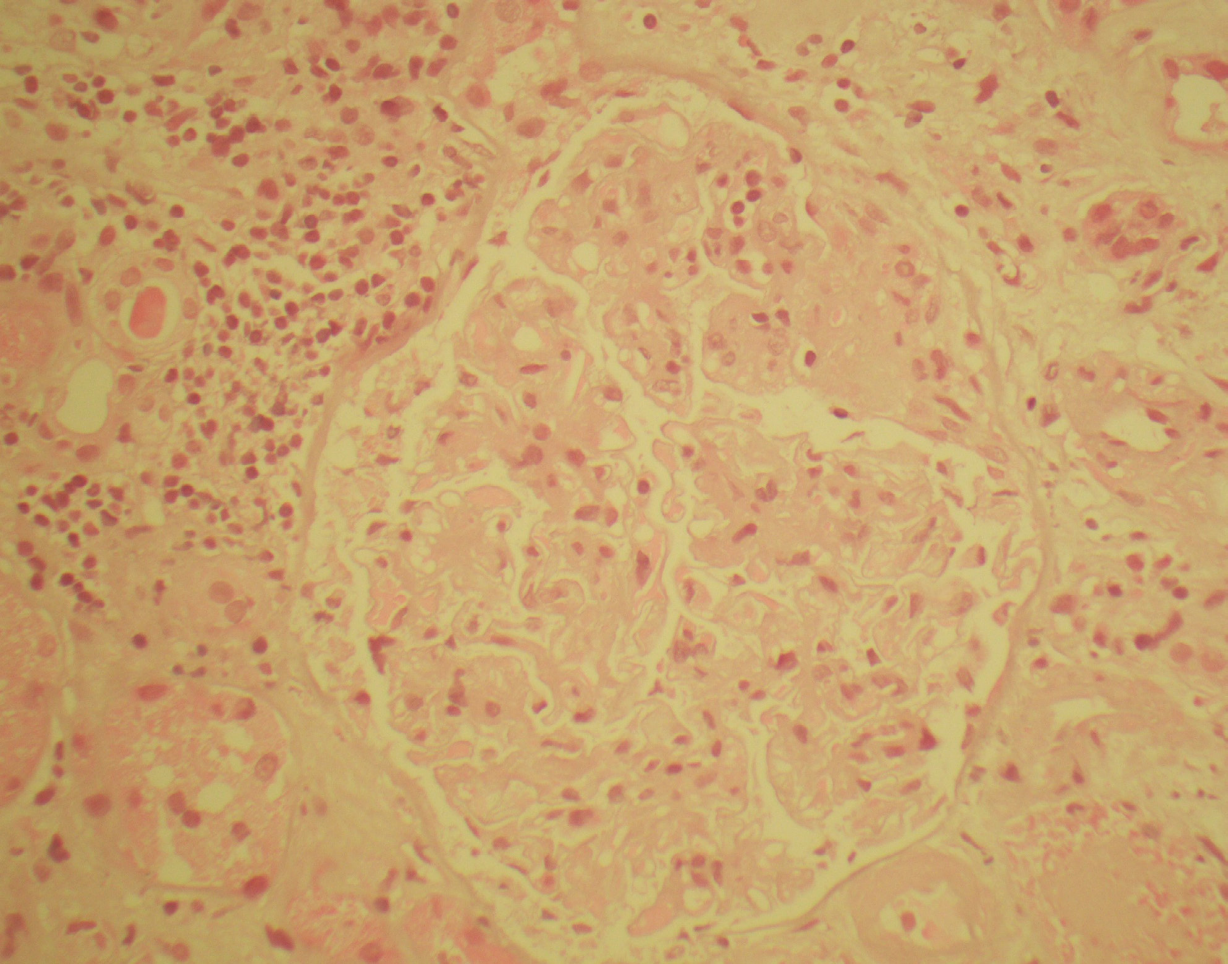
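A renal glomerulus fills the centre of the field. Its tuft is lobulated, and the lobules hold much pale pink matrix with scattered dark nuclei and few open capillary lumens. A clear space and a thin capsule surround the tuft. Tubules with pink cytoplasm lie around it, and at the upper left a dense collection of small round dark nuclei fills the interstitium between the tubules.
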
